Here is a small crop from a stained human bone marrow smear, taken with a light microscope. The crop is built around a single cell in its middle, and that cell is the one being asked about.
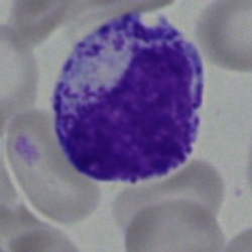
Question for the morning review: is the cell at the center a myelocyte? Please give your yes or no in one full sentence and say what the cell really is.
Yes, the cell centred in the field of view is a myelocyte.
